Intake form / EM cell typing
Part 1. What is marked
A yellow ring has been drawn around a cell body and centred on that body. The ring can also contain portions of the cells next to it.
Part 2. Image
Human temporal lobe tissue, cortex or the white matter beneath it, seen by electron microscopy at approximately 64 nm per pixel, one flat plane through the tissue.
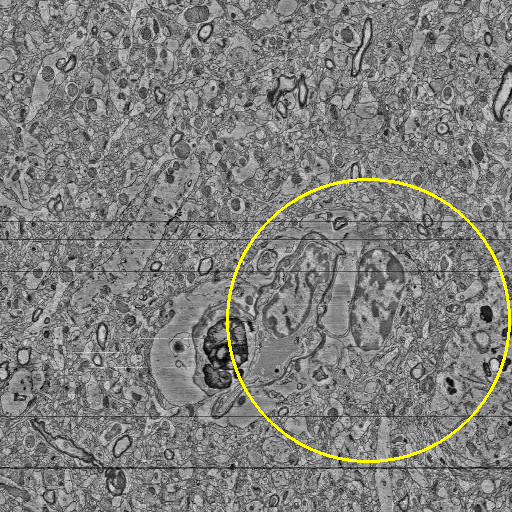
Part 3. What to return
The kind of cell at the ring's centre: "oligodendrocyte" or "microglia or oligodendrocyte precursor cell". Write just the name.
microglia or oligodendrocyte precursor cell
